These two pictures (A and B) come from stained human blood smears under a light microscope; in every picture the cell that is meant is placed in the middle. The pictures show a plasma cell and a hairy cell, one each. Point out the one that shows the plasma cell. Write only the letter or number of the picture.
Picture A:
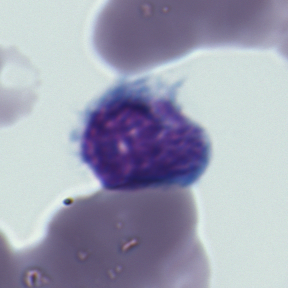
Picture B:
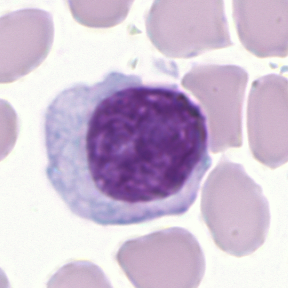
B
